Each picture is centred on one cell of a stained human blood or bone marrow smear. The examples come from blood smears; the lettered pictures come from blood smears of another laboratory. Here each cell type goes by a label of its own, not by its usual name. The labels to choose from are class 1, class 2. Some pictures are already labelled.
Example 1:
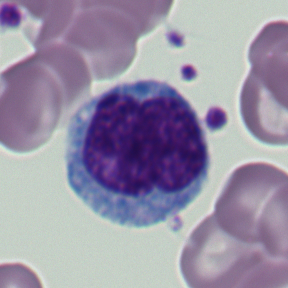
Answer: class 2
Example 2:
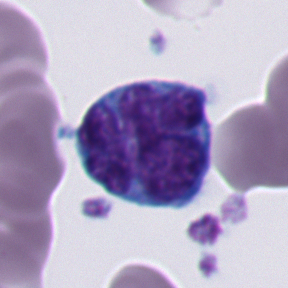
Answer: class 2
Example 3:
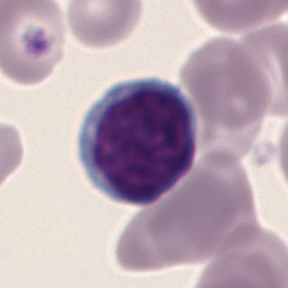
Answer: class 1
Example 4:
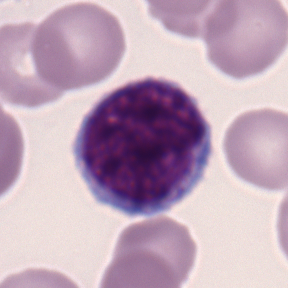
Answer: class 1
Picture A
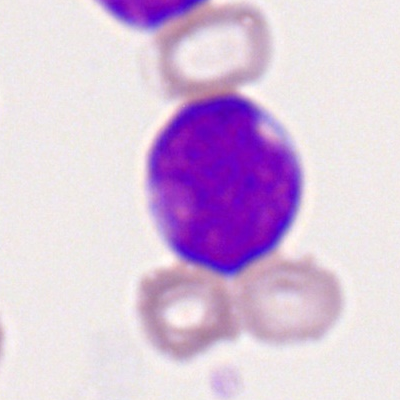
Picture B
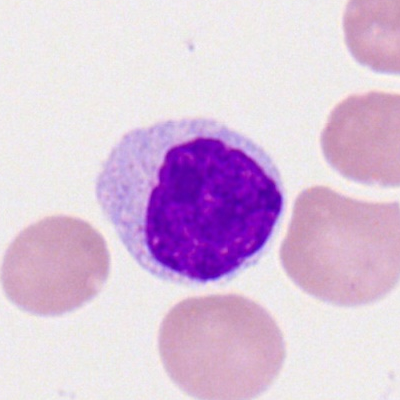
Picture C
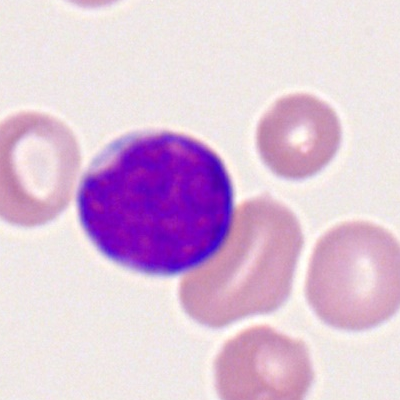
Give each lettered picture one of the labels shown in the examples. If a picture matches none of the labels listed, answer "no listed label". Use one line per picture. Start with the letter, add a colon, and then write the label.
A: no listed label
B: class 1
C: no listed label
